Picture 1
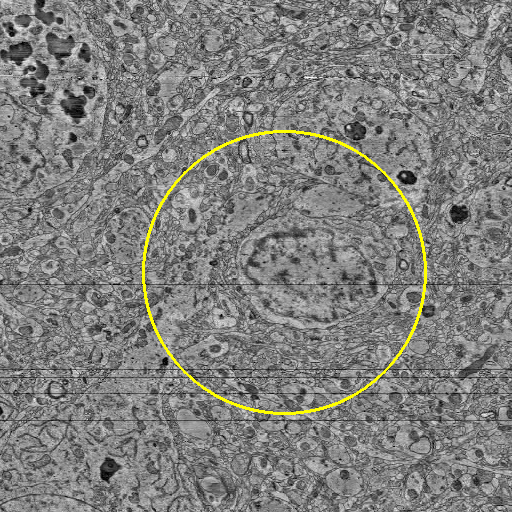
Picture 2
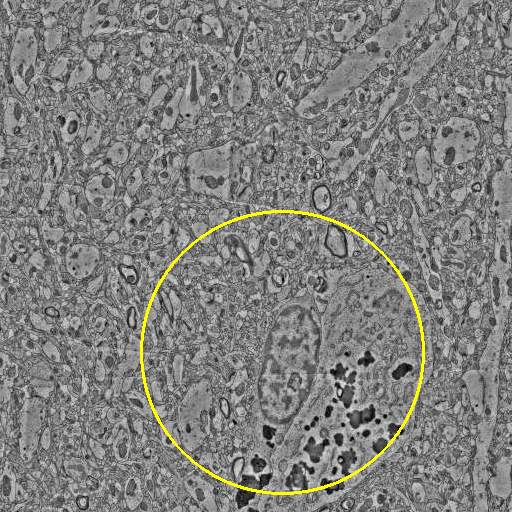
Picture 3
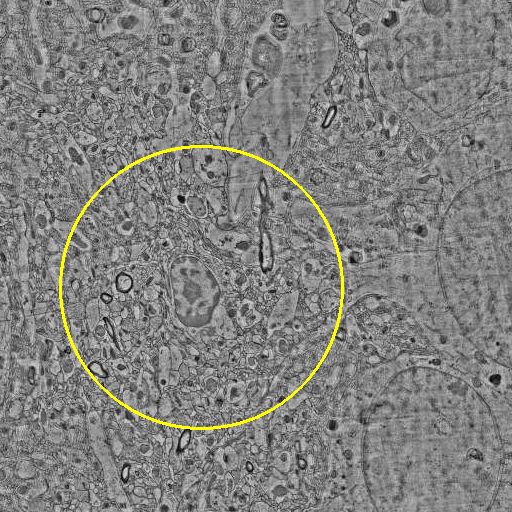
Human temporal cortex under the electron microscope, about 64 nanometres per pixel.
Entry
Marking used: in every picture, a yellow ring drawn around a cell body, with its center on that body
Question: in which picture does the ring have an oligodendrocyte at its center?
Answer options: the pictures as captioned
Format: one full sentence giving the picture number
Picture 2 is where the ring's center falls on the requested cell.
